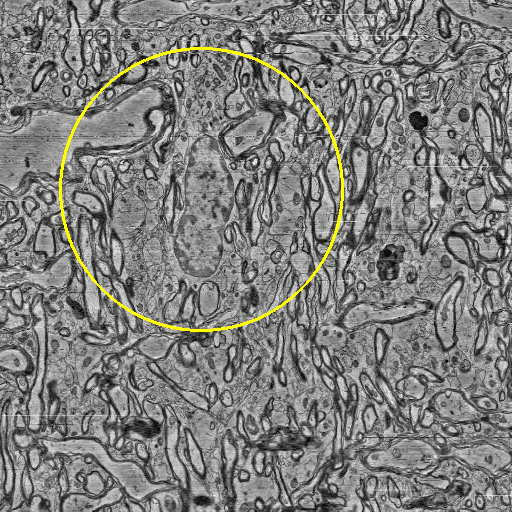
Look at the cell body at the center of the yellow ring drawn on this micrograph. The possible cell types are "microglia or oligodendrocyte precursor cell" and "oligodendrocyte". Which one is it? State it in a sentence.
The cell in the middle of the ring is a microglial cell or oligodendrocyte precursor cell.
